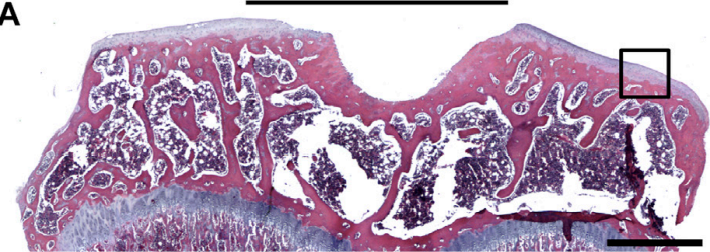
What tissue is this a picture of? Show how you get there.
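Tibiae. A bone end with two articular surfaces capped by pale cartilage. Trabecular bone with marrow spaces below. A bluish growth plate band runs across the bottom.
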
